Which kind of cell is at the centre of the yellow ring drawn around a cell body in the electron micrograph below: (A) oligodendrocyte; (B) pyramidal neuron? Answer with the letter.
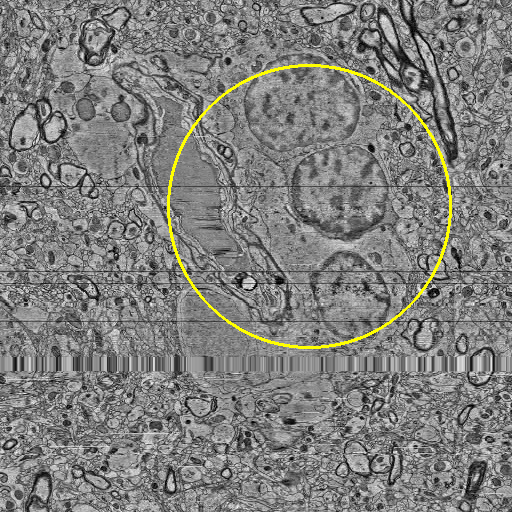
A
